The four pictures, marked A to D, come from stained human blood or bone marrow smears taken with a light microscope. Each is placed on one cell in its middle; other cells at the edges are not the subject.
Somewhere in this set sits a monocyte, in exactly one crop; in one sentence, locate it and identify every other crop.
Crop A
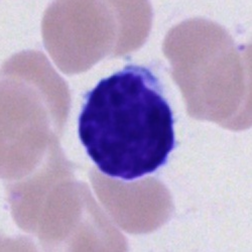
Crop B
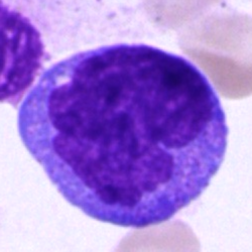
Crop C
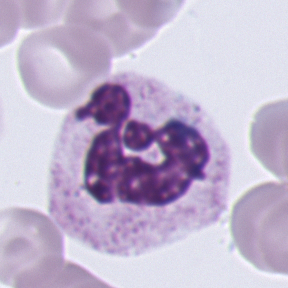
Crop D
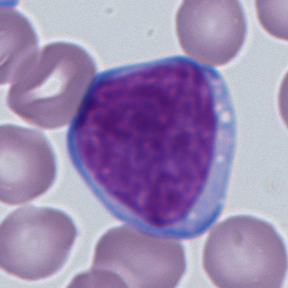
The cell occupying crop B is a monocyte, whereas crop A is a lymphocyte, crop C is a segmented neutrophil and crop D is a blast.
